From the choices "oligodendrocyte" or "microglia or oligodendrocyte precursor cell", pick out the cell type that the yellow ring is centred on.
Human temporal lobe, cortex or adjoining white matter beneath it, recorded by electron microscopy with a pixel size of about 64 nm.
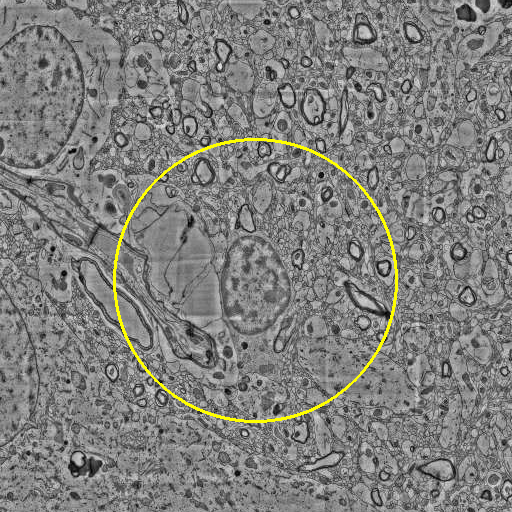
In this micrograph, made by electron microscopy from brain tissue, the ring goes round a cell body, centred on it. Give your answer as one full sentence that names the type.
The yellow ring is centred on an oligodendrocyte, whose cell body it encircles in the picture.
